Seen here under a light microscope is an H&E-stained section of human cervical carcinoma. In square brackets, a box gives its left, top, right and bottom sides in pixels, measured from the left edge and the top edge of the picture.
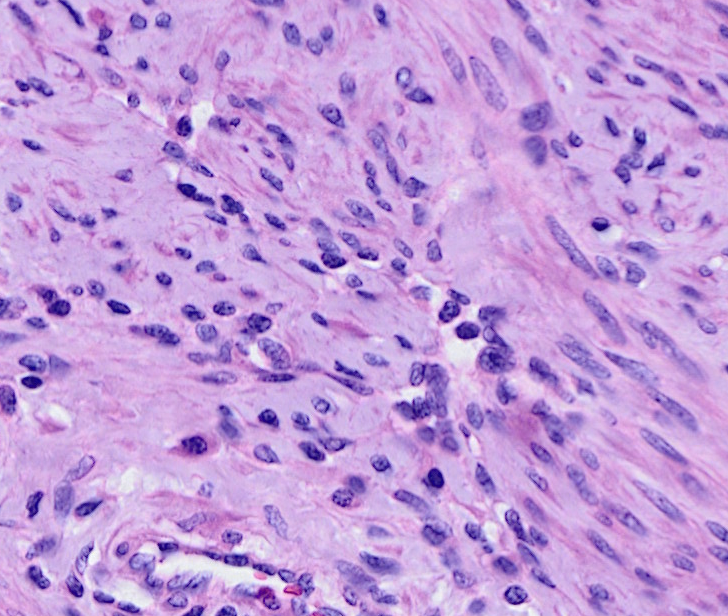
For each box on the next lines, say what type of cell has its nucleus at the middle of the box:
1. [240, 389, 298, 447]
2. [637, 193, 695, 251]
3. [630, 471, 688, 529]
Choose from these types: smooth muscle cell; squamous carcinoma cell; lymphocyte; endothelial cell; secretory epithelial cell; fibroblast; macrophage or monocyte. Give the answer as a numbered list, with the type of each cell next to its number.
1. lymphocyte
2. smooth muscle cell
3. smooth muscle cell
